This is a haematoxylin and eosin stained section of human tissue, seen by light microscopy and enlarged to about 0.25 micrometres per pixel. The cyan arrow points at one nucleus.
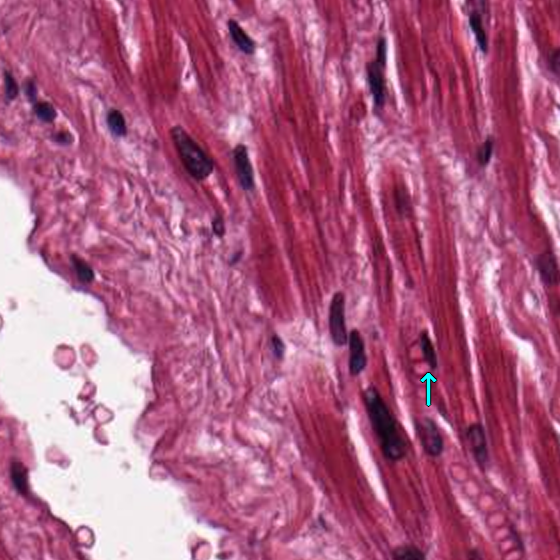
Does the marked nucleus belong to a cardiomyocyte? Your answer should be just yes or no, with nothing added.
no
